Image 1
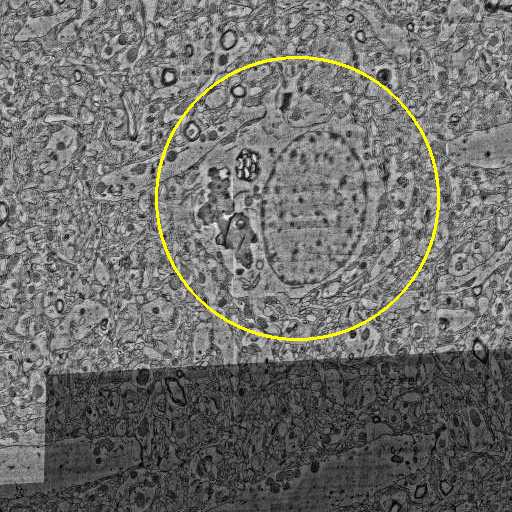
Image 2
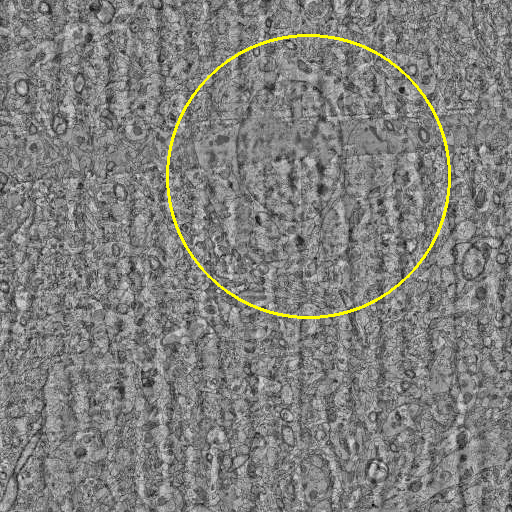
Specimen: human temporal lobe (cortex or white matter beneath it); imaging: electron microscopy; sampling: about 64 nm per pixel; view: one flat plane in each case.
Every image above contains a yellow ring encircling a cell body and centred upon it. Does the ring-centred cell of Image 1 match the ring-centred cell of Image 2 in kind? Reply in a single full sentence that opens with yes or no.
Yes, the cell at the ring's centre in Image 1 is the same kind as that in Image 2.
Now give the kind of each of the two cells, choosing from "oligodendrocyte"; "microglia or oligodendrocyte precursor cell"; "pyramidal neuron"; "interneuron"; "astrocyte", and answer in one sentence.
Each of the ringed cells, first and second, is an astrocyte.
